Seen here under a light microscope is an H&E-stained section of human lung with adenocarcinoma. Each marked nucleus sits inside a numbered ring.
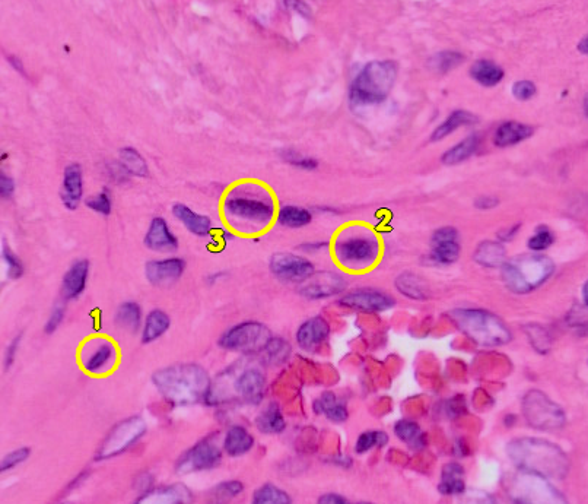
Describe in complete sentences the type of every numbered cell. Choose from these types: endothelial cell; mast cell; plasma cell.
Cell 1 is a mast cell, cell 2 is a plasma cell and cell 3 is a plasma cell.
